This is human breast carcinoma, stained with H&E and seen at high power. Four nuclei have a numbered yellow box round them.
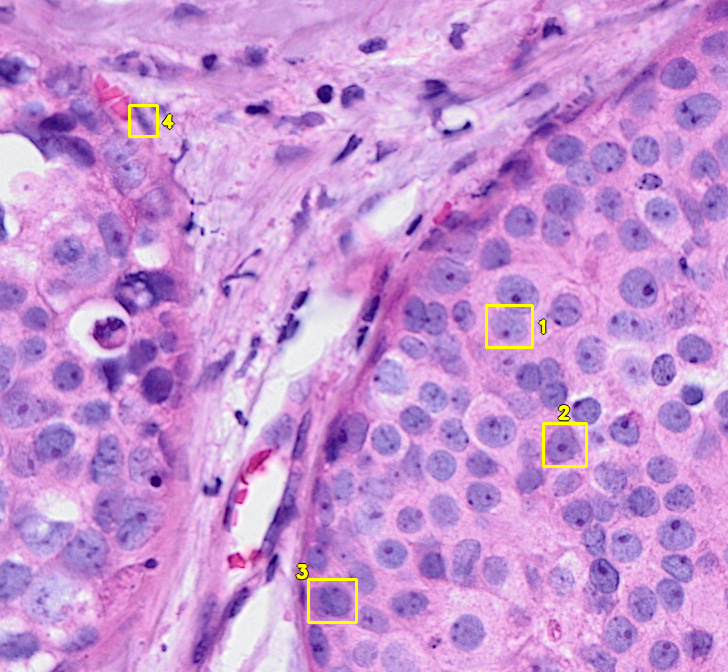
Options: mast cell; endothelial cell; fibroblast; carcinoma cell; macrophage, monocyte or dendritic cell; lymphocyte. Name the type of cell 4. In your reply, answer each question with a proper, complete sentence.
The cell identified by number 4 is an endothelial cell.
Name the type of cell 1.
Number 1 is placed on a carcinoma cell here.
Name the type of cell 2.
Of the numbered cells, the one labelled 2 is a carcinoma cell.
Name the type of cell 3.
The correct label for cell 3 is a carcinoma cell.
